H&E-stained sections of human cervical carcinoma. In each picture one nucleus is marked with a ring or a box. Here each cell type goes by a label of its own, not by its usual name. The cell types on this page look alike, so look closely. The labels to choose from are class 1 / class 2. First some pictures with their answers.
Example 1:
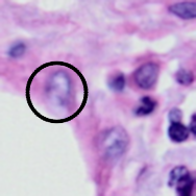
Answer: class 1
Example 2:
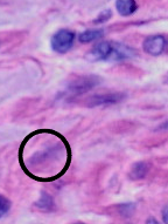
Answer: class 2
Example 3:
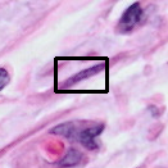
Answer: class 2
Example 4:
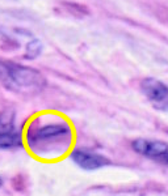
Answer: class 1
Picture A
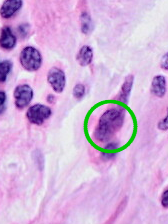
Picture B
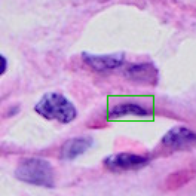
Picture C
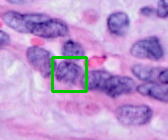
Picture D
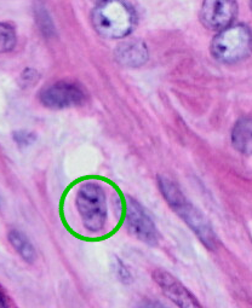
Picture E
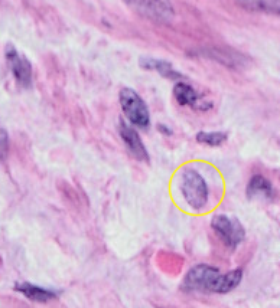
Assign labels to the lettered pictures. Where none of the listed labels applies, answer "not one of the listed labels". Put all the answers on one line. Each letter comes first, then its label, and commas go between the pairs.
A not one of the listed labels, B class 1, C class 1, D not one of the listed labels, E not one of the listed labels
